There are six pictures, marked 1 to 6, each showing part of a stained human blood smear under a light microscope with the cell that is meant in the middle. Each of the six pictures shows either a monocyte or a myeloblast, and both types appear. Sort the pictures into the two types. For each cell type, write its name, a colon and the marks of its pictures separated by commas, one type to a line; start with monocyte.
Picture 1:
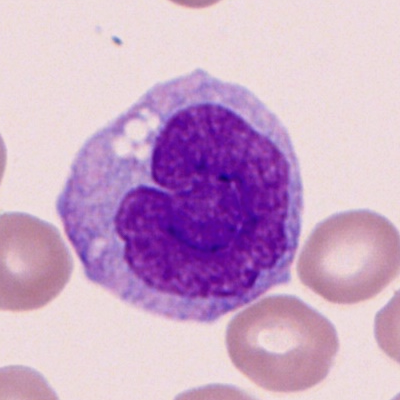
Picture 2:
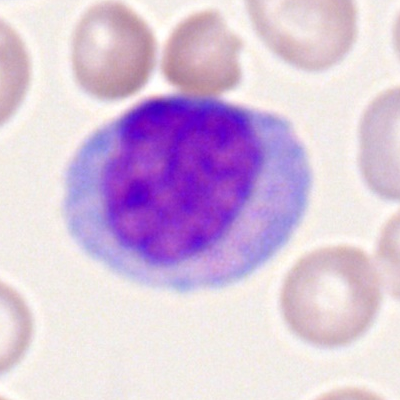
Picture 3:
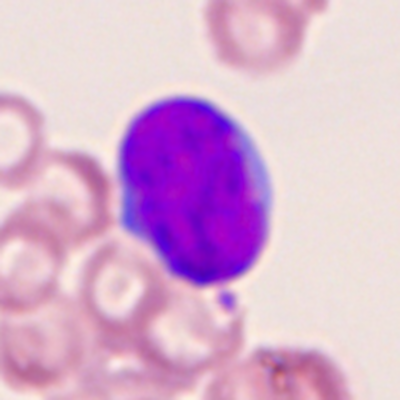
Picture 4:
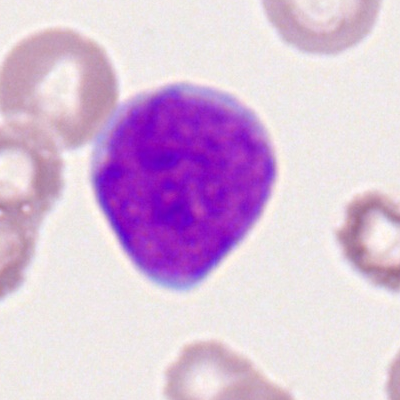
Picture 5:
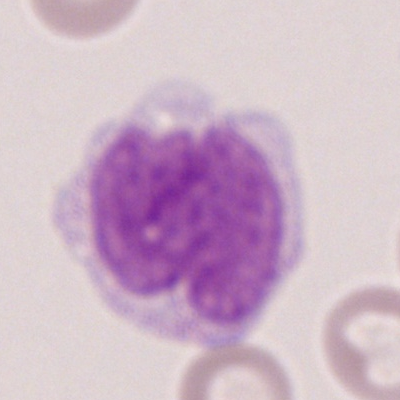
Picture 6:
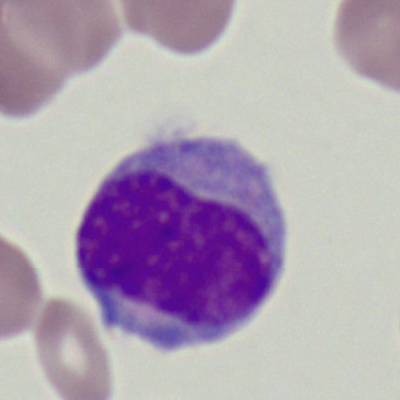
monocyte: 1, 2, 5, 6
myeloblast: 3, 4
